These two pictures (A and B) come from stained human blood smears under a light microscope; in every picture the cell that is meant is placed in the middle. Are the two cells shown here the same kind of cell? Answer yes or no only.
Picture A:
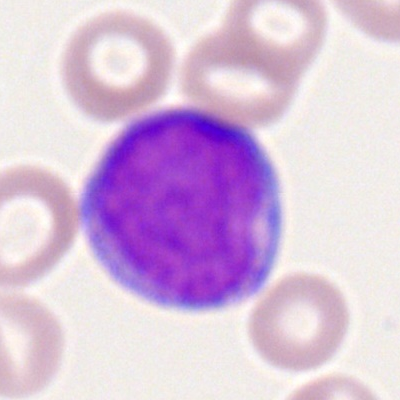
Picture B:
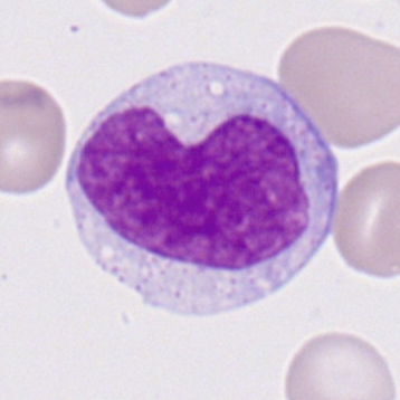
no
